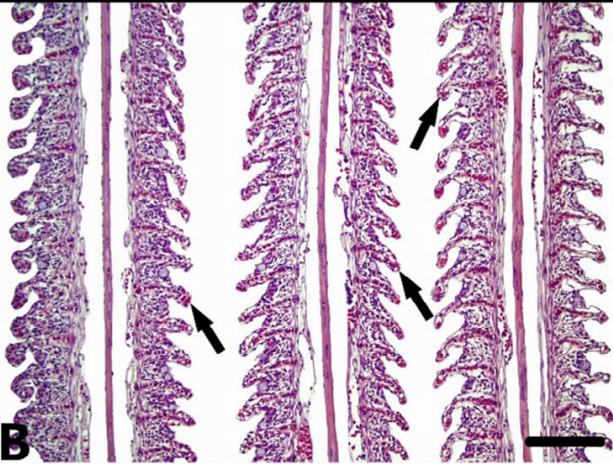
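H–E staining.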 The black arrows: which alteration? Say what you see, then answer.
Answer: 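Hyperaemia. Where the arrows point, the small side projections are filled with bright red-staining blood cells. Red blood cells are more crowded in the projections than elsewhere in the tissue.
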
